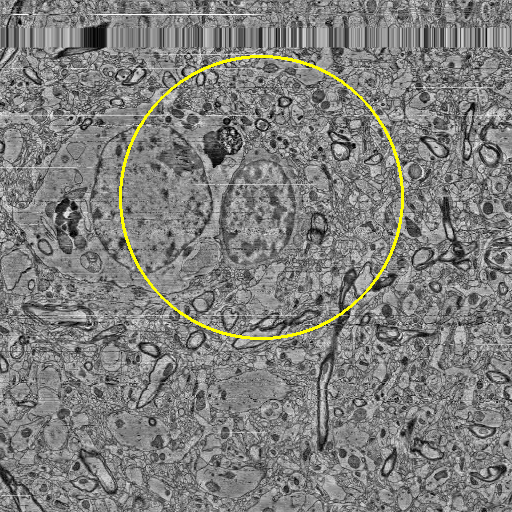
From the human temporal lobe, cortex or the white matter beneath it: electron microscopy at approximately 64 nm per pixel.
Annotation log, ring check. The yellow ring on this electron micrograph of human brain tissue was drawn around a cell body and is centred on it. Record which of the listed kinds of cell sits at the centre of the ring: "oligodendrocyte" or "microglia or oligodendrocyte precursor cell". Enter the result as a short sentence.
The cell at the centre of the ring is an oligodendrocyte.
